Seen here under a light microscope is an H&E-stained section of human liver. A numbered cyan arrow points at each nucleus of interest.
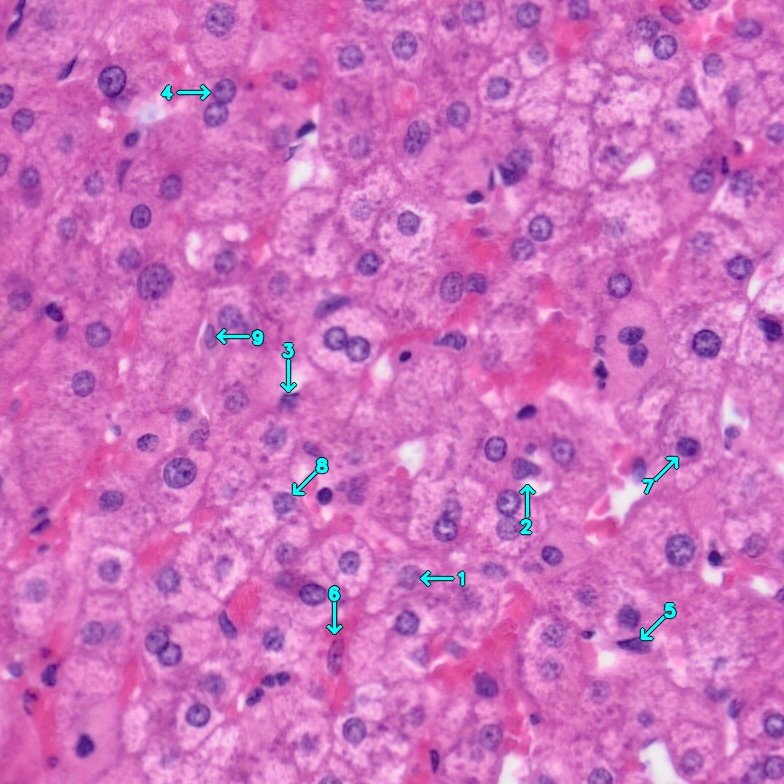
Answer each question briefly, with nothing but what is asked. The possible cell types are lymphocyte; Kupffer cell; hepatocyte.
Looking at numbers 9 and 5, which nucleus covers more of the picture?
5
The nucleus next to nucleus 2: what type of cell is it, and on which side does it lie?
a lymphocyte; above nucleus 2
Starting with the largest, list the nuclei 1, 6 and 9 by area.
6, 1, 9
